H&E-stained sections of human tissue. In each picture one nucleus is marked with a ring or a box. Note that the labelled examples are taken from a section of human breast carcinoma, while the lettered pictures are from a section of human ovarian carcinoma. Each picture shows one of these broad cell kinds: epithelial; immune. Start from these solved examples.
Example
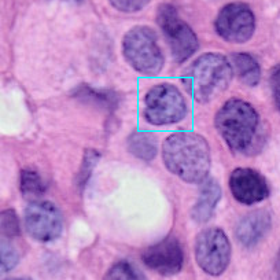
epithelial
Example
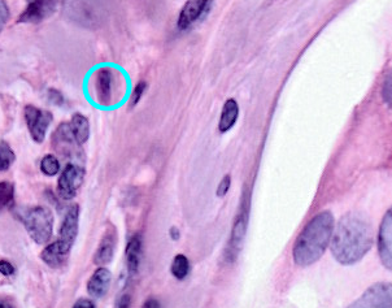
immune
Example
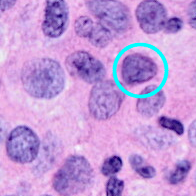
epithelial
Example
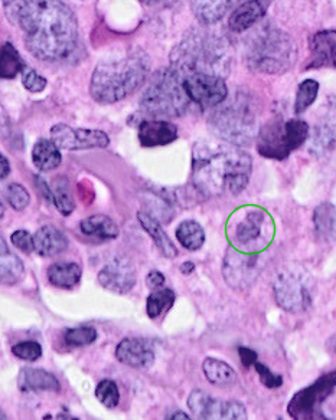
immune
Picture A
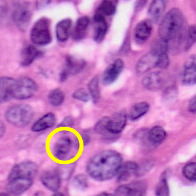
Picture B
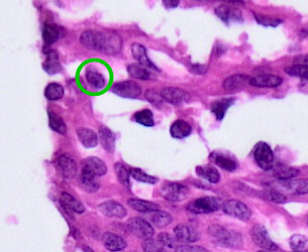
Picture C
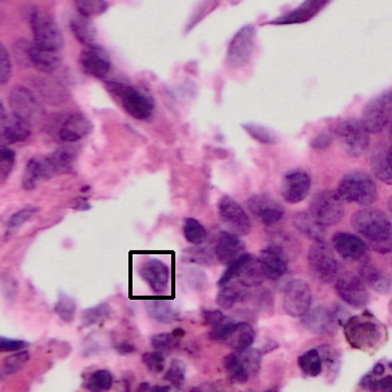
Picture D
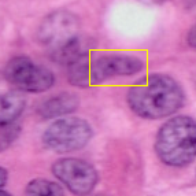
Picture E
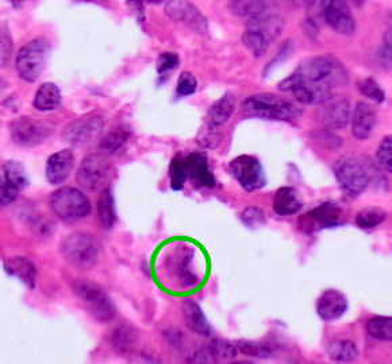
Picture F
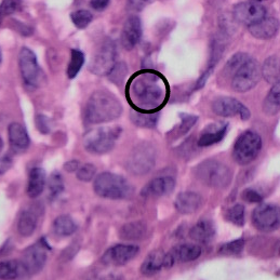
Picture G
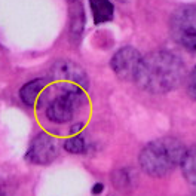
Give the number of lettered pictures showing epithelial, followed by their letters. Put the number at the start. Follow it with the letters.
5, namely B, C, D, F, G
